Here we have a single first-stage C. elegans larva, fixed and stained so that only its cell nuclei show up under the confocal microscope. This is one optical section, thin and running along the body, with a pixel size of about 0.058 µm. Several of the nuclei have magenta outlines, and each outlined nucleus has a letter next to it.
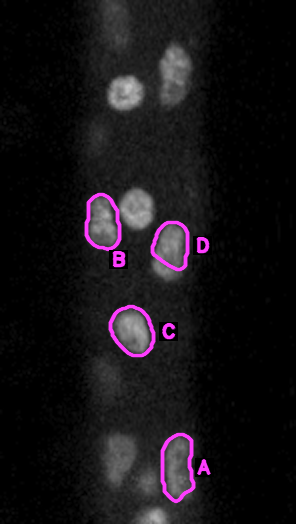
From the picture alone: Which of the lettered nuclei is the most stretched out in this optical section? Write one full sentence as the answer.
Of the marked nuclei, A is the most stretched out.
